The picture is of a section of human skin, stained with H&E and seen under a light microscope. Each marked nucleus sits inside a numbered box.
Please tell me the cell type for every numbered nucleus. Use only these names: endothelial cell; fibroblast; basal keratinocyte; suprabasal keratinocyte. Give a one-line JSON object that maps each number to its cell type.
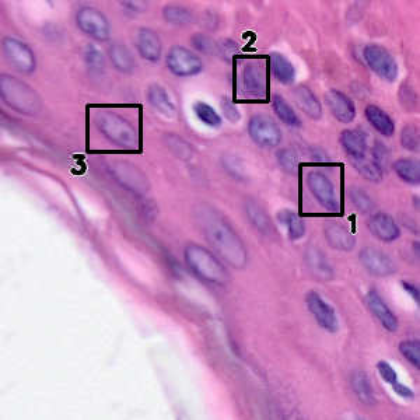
{"1": "suprabasal keratinocyte", "2": "basal keratinocyte", "3": "suprabasal keratinocyte"}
